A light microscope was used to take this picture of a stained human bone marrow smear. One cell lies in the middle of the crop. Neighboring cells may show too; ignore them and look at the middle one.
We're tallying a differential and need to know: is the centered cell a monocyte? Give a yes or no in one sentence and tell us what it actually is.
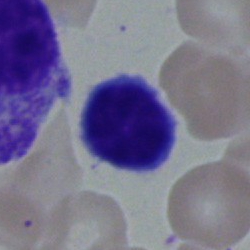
No, not a monocyte: the cell in the middle of this crop is a lymphocyte.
